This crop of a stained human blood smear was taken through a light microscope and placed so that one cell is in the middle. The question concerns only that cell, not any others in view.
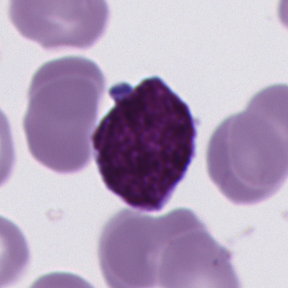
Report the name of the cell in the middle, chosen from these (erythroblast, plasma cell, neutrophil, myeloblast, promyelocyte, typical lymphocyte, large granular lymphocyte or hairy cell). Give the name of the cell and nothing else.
myeloblast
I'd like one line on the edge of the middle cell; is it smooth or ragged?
The margin of this cell is irregular, showing raggedness or projections instead of smoothness.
